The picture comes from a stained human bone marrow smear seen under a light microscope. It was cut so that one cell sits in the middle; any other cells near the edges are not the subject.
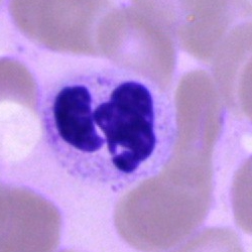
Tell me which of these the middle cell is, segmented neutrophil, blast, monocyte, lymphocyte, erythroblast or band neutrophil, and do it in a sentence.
The middle of this crop holds a segmented neutrophil.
